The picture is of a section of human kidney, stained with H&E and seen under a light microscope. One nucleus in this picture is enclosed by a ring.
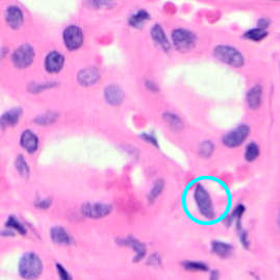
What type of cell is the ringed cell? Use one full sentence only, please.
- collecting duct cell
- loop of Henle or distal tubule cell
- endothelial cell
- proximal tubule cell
As for its identity, the ringed cell is an endothelial cell.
